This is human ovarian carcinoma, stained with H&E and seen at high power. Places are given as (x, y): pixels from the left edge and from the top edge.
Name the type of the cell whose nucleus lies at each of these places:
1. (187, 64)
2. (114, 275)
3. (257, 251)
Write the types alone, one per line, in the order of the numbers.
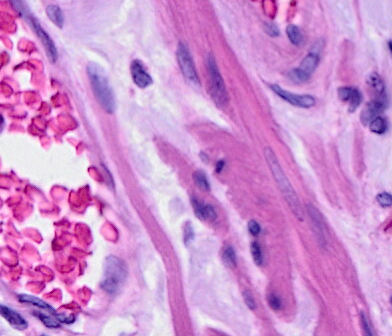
smooth muscle cell
endothelial cell
smooth muscle cell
